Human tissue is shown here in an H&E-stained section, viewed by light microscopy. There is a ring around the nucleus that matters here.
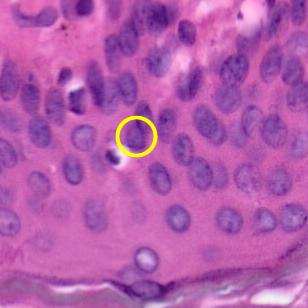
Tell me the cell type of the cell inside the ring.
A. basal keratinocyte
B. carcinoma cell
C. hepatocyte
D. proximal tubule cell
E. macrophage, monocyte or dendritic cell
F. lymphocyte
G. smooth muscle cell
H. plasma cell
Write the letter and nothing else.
A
